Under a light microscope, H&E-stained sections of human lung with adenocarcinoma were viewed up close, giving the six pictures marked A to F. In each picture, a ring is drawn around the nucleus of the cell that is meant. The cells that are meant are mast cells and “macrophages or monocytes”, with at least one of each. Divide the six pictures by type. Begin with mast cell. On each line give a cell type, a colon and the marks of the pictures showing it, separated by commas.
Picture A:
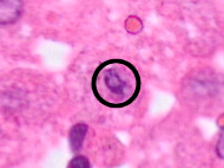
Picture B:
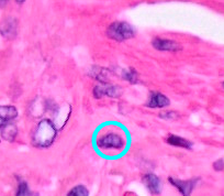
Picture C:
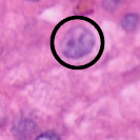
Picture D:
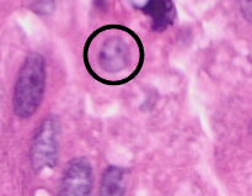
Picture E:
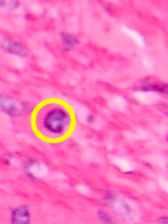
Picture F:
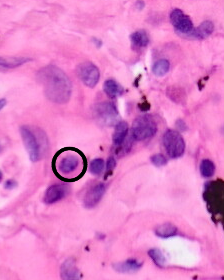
mast cell: B, E, F
macrophage or monocyte: A, C, D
